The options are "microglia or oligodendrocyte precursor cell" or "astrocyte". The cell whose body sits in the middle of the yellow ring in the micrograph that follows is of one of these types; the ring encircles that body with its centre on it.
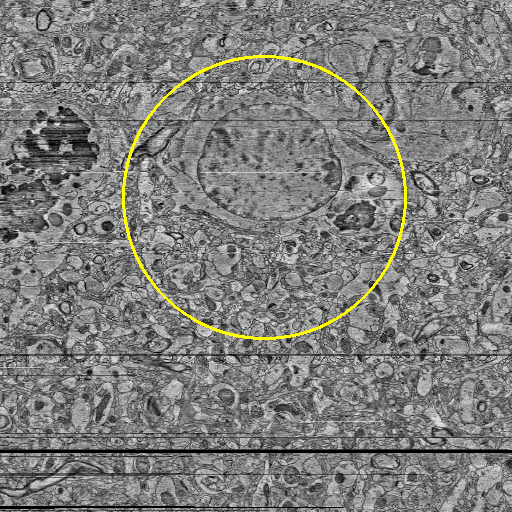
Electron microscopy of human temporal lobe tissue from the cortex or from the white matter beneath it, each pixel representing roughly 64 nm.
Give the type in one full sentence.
Going by the micrograph, the cell centred in the yellow ring is an astrocyte.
